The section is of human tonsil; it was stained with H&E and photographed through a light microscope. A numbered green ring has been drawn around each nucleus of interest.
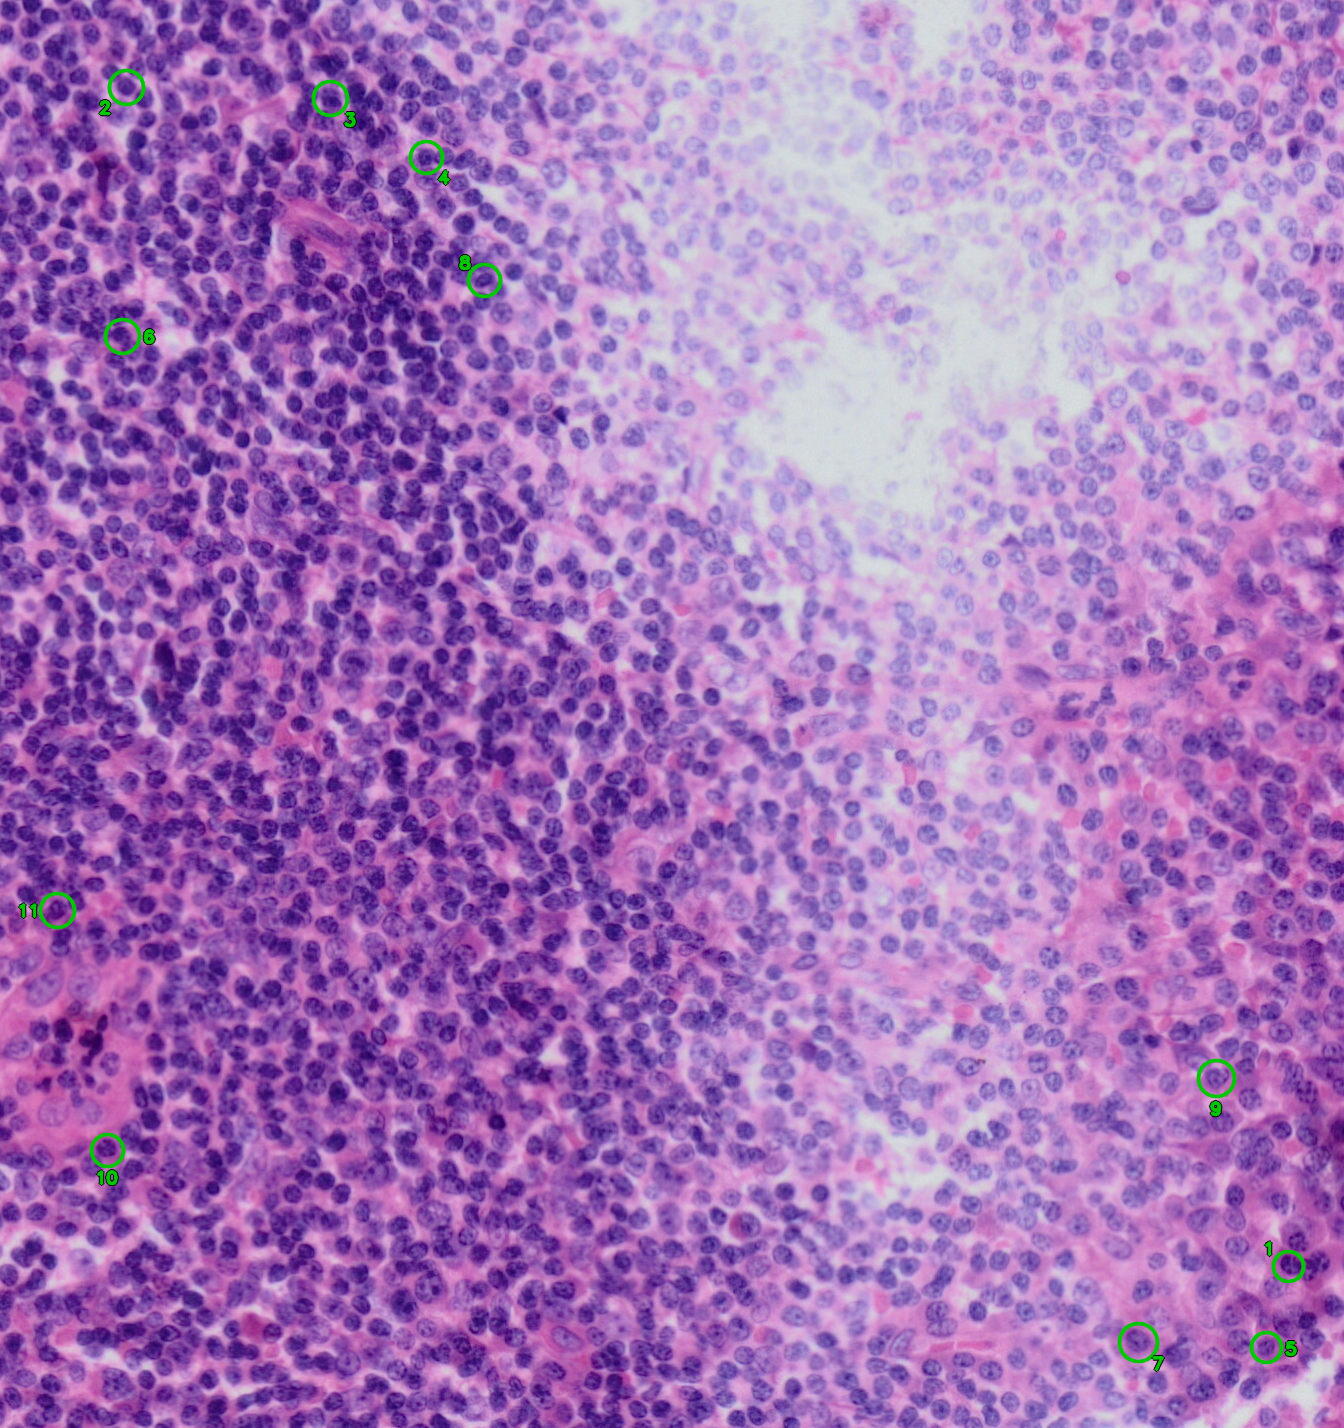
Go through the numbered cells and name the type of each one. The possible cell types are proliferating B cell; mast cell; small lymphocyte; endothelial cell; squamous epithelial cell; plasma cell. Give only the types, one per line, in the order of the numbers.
plasma cell
small lymphocyte
small lymphocyte
small lymphocyte
plasma cell
small lymphocyte
plasma cell
small lymphocyte
plasma cell
plasma cell
plasma cell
